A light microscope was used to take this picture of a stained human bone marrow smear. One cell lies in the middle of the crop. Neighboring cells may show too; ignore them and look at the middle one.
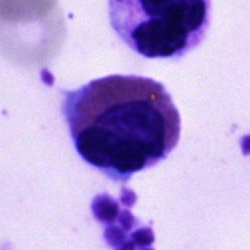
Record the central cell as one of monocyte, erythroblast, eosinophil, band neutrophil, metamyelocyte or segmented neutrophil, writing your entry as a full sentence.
The cell of interest, in the center, is an eosinophil.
